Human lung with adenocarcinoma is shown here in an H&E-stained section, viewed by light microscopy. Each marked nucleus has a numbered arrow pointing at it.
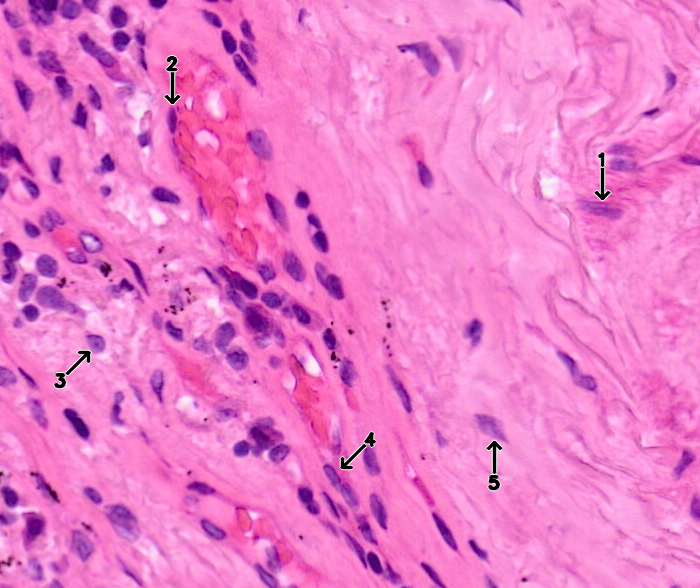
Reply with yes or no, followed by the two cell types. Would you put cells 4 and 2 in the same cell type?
Yes, both cells 4 and 2 are endothelial cells.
